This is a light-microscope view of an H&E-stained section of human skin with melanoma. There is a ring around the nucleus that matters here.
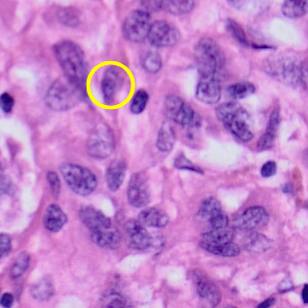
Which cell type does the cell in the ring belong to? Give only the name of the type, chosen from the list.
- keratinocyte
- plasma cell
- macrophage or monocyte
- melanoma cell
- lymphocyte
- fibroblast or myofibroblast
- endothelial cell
melanoma cell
